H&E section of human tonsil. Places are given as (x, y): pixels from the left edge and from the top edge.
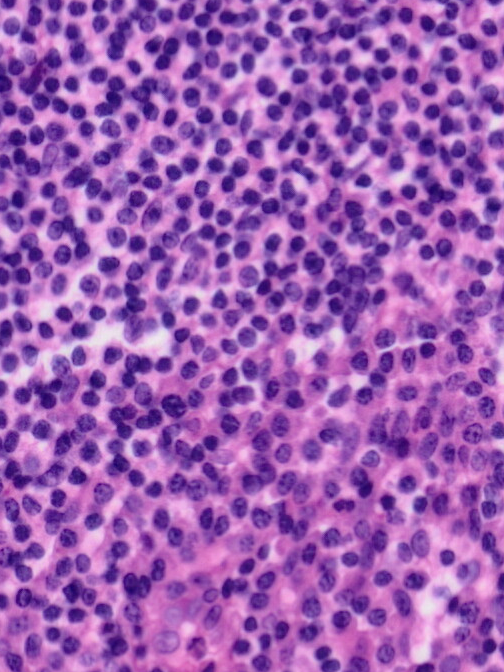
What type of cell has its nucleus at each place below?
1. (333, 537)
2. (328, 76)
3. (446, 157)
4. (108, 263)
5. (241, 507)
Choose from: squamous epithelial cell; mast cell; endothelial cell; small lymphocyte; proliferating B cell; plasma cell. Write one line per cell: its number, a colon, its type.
1: plasma cell
2: small lymphocyte
3: small lymphocyte
4: small lymphocyte
5: plasma cell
